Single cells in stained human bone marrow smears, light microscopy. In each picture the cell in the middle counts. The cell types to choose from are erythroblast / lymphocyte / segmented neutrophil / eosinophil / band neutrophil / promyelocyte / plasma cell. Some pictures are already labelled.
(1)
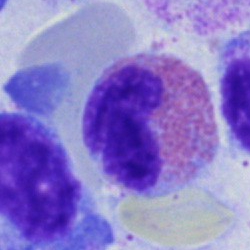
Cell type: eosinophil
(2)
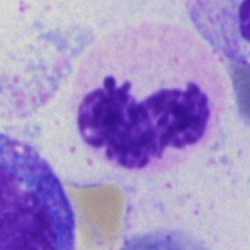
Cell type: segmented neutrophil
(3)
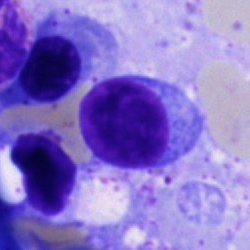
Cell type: lymphocyte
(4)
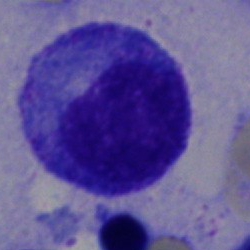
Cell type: promyelocyte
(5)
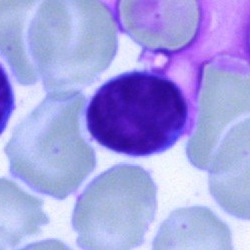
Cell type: lymphocyte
